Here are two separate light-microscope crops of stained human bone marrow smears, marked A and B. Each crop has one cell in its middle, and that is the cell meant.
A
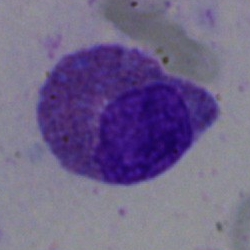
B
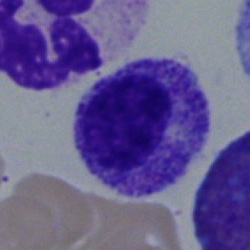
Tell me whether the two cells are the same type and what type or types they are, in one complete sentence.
No, crop A shows an eosinophil and crop B a myelocyte.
